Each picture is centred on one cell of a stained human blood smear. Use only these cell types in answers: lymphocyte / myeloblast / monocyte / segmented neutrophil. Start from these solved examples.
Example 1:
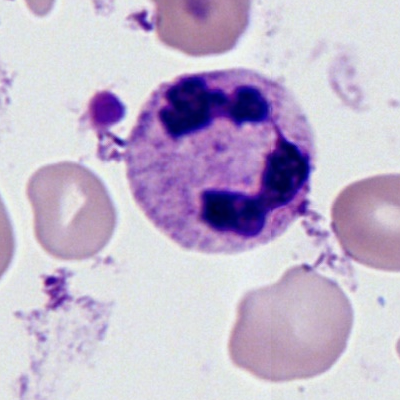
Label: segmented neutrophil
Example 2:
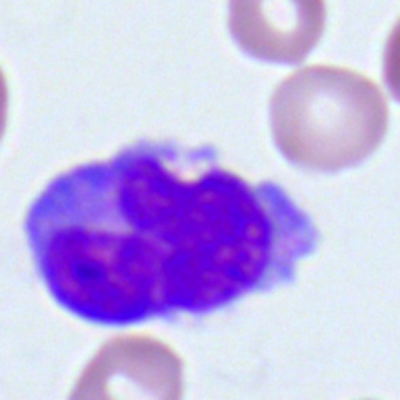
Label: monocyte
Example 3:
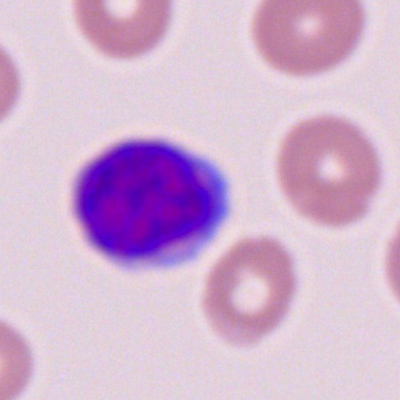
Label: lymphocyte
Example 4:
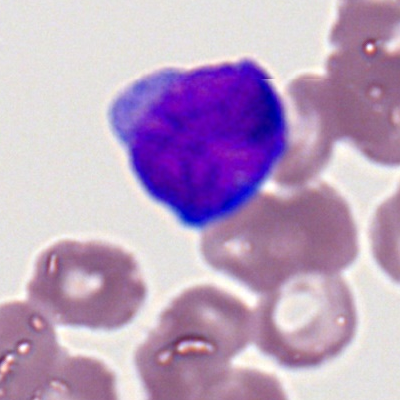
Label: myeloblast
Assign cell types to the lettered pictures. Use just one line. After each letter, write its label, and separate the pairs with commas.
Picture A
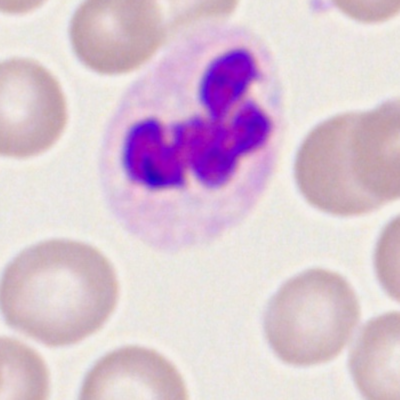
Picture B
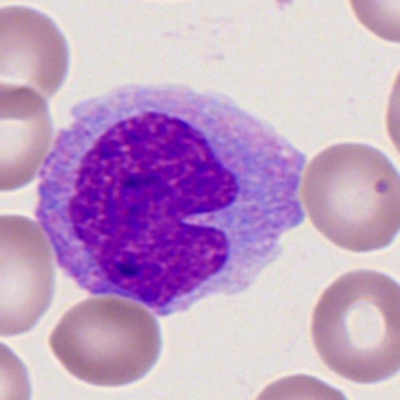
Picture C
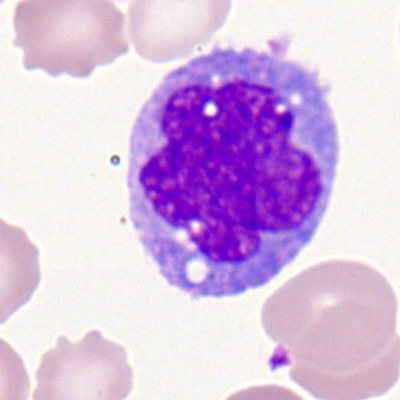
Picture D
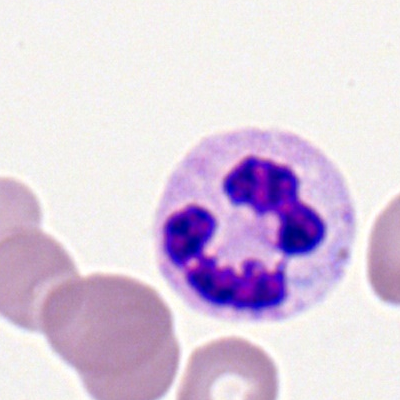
A segmented neutrophil, B monocyte, C monocyte, D segmented neutrophil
